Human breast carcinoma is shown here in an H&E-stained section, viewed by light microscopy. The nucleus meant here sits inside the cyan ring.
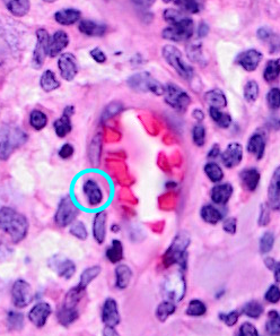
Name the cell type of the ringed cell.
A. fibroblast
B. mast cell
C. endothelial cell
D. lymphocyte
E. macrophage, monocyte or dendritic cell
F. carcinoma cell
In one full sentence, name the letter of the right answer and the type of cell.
Option D is the correct one, since the ringed cell is a lymphocyte.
